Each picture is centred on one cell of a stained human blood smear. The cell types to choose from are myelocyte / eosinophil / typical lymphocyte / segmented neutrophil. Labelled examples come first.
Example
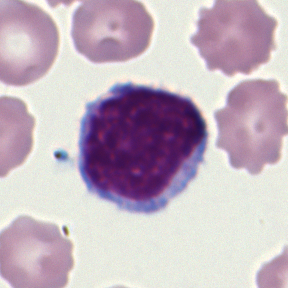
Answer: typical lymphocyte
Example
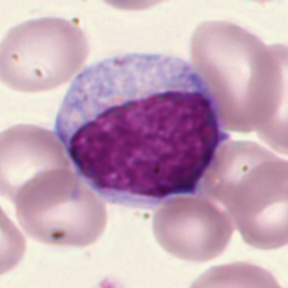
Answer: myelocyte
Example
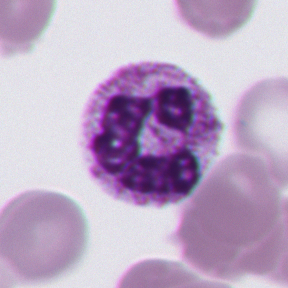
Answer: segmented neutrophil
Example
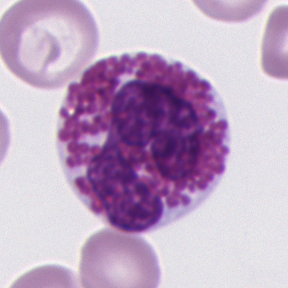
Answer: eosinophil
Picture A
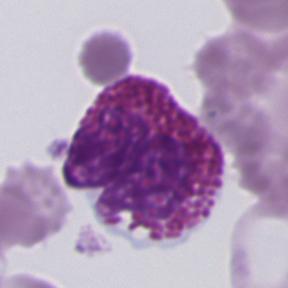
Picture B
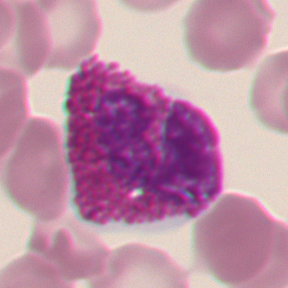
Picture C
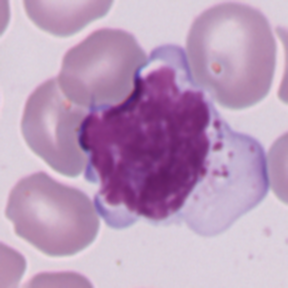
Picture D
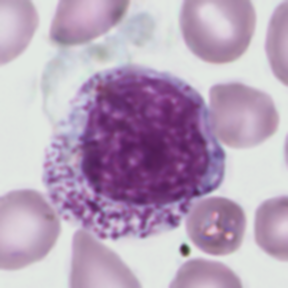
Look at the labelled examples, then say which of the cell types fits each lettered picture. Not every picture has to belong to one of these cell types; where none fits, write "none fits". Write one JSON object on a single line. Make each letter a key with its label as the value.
{"A": "eosinophil", "B": "eosinophil", "C": "none fits", "D": "myelocyte"}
